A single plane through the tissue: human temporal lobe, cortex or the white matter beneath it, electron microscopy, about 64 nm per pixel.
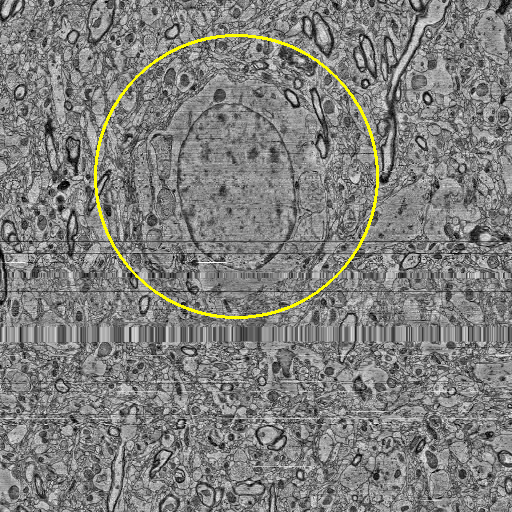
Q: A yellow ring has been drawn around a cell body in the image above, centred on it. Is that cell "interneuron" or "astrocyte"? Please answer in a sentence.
The ring surrounds the cell body of an astrocyte.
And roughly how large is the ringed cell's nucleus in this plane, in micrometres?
In this plane the nucleus is clearly longer than it is wide, at approximately 11 by 8 micrometres.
